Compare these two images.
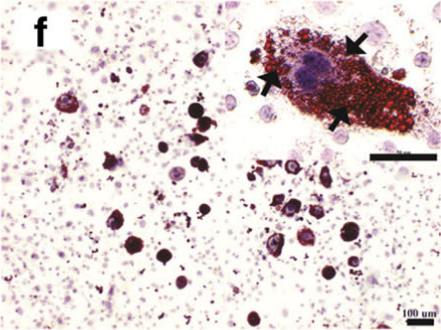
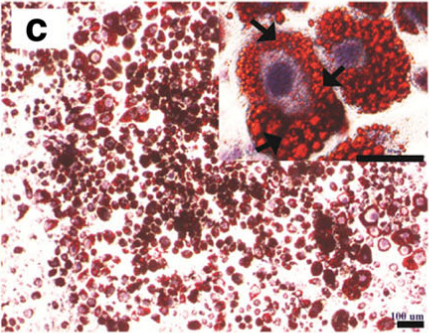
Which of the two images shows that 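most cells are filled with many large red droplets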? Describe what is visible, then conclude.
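First image: only scattered cells carry red droplets among many pale cells. Second image: nearly the whole field is covered by cells packed with red droplets. On this evidence: the second image.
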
